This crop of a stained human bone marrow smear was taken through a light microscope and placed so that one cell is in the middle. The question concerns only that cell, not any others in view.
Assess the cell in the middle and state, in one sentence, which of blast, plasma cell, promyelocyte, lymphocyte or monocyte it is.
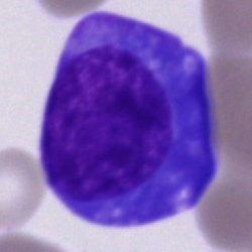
The cell at the central position in this crop is a plasma cell.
